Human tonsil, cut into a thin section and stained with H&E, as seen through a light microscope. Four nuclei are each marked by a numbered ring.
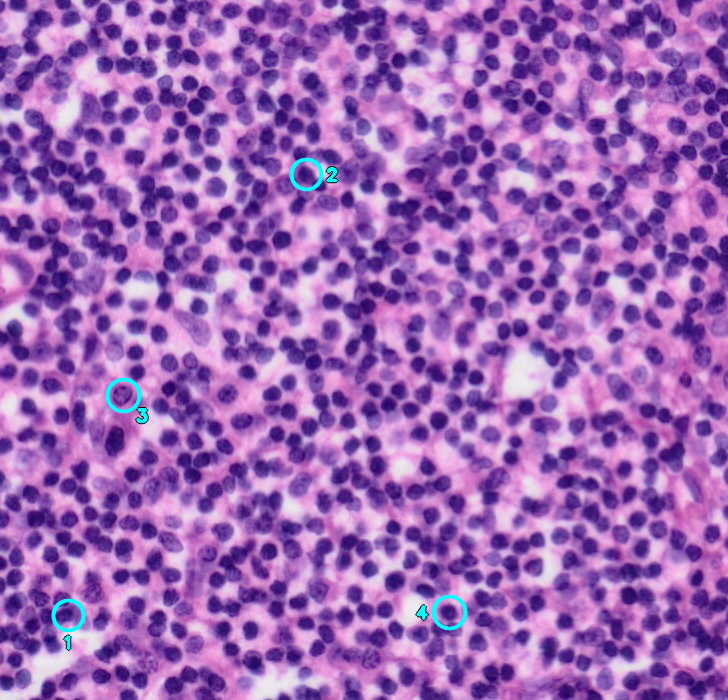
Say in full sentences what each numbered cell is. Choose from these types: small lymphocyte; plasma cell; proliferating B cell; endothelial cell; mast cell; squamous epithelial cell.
Cell 1 is a small lymphocyte, cell 2 is a small lymphocyte, cell 3 is a plasma cell and cell 4 is a small lymphocyte.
